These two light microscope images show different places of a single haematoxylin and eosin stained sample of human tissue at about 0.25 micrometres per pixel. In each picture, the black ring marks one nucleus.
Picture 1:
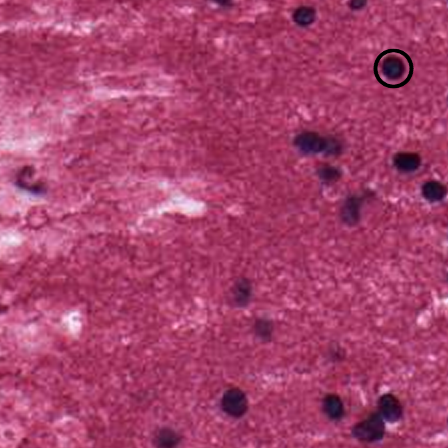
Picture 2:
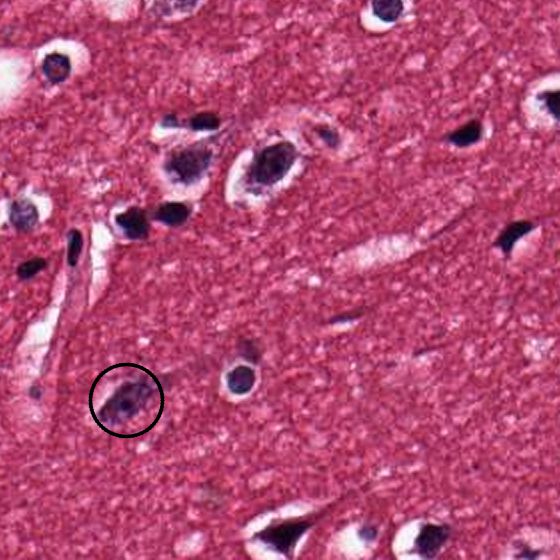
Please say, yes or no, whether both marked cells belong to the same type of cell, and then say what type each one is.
No, the first is an oligodendrocyte and the second a neuron.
